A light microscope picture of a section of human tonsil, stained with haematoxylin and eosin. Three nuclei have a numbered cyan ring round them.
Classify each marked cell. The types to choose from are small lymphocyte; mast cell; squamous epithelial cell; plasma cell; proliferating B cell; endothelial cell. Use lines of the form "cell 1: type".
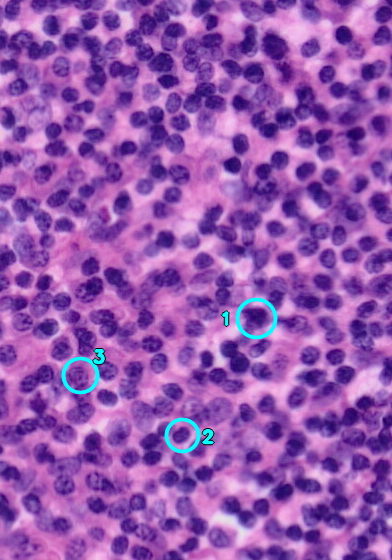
cell 1: proliferating B cell
cell 2: small lymphocyte
cell 3: plasma cell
